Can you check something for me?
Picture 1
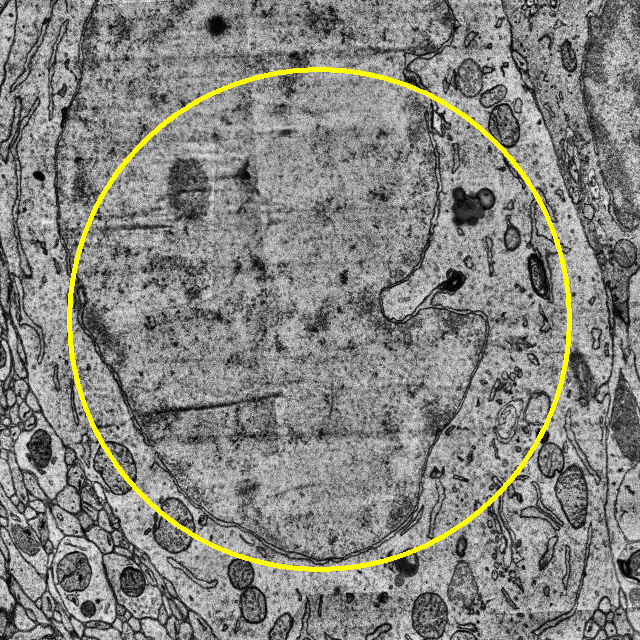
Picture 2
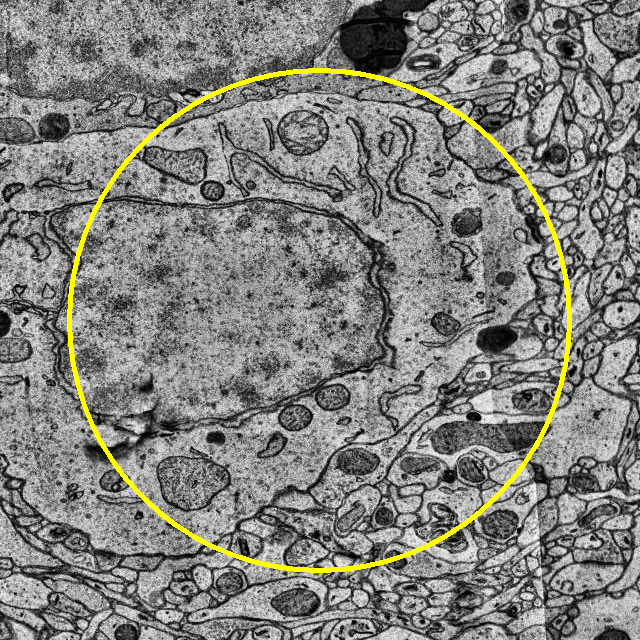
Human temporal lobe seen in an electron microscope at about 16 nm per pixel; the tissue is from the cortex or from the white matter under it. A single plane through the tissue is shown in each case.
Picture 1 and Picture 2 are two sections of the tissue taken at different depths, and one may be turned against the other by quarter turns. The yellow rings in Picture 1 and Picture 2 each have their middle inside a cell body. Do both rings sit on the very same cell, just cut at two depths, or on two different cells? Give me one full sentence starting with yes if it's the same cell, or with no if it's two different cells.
Yes, the same cell has been marked in both yellow rings.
